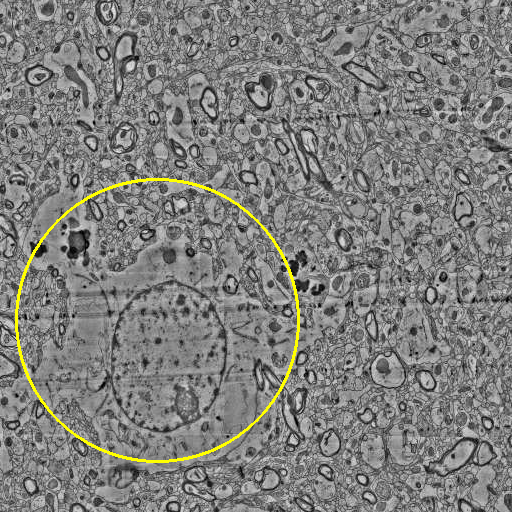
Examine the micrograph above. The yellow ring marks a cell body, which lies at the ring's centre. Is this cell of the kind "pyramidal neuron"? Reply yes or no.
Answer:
no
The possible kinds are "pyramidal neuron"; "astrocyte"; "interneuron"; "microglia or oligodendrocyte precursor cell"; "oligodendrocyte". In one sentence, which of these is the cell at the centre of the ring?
The cell in the ring is an astrocyte instead.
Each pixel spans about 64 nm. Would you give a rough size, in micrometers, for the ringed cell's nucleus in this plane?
Roughly 10 by 7 micrometres is the size of the nucleus in this plane.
